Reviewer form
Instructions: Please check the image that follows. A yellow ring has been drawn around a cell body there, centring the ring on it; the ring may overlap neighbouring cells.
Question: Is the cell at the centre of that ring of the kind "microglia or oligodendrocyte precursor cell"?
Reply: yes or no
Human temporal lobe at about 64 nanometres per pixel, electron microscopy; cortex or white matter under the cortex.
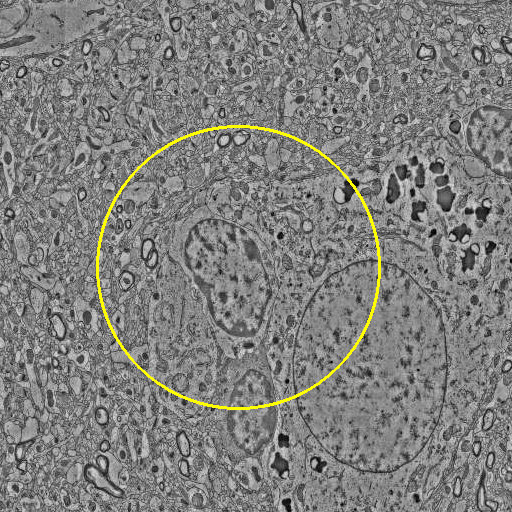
yes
